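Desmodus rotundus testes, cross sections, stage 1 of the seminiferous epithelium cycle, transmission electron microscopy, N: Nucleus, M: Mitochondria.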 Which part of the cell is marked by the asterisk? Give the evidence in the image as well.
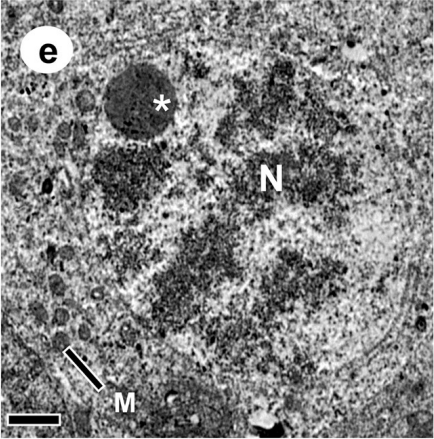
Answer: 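Nucleoli. The asterisk lies on a round, smooth, dense body inside the nucleus.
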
